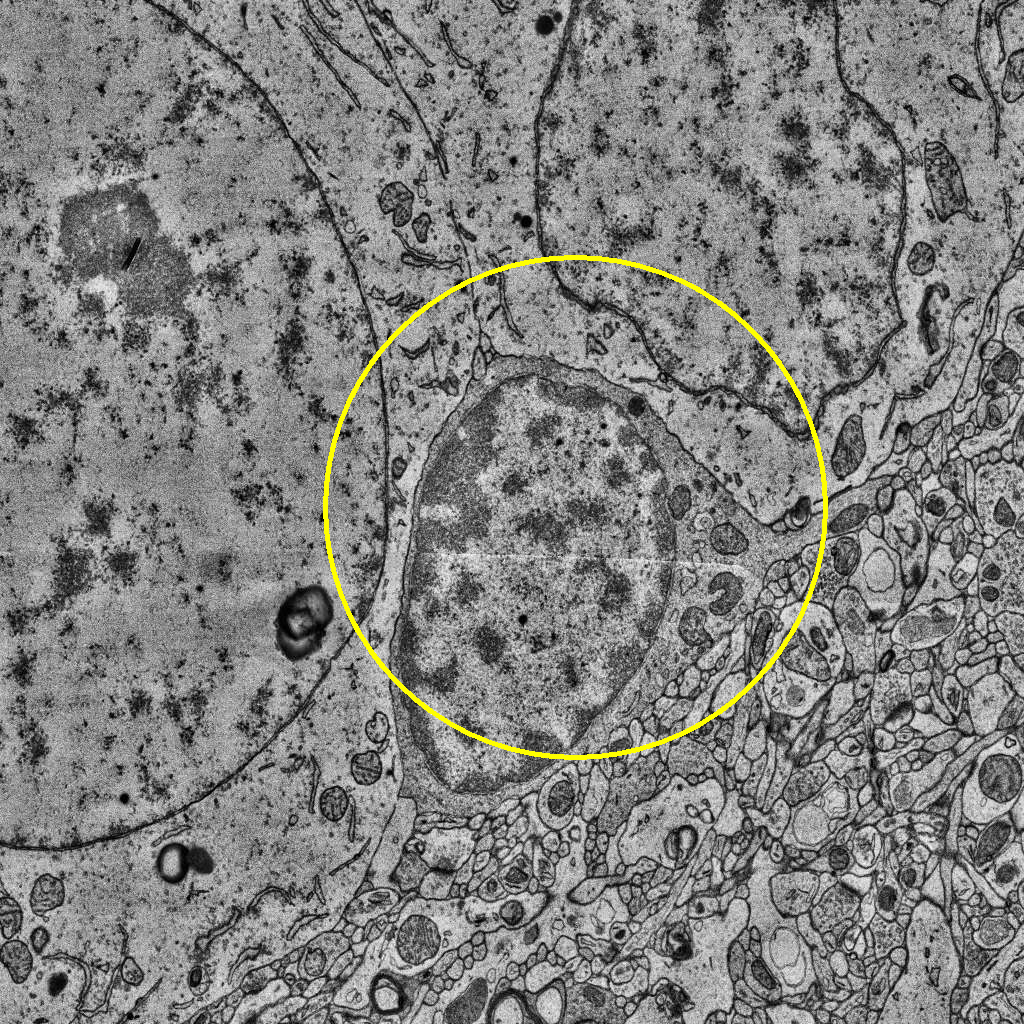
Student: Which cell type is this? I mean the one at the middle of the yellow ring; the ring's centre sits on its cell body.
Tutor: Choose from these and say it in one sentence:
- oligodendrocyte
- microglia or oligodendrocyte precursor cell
The cell at the ring's centre is an oligodendrocyte.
